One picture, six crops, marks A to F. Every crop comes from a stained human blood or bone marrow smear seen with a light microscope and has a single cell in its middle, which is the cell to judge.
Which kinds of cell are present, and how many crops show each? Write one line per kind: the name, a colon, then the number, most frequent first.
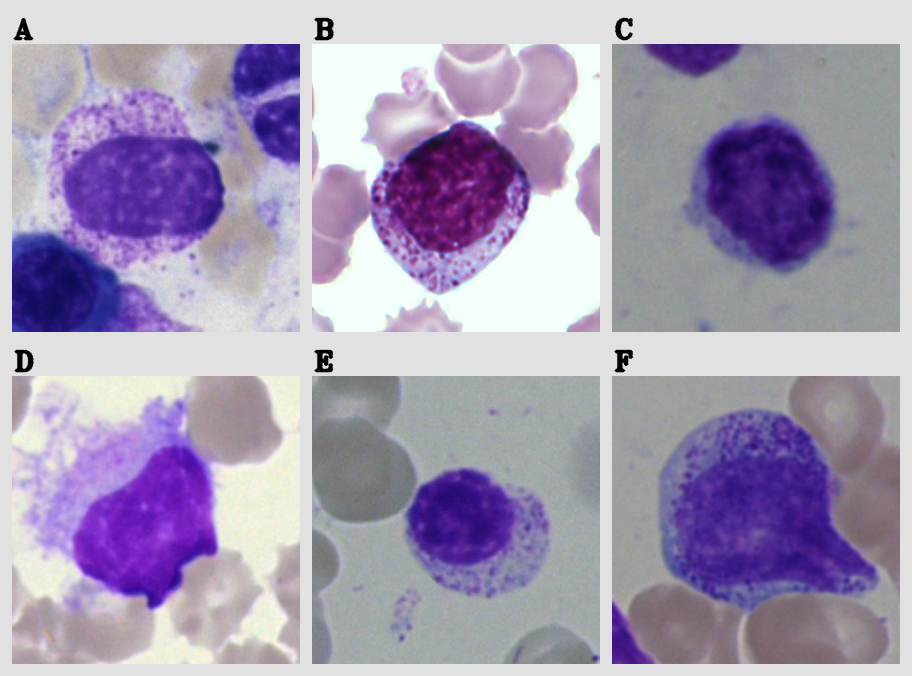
myelocyte: 4
hairy cell: 2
